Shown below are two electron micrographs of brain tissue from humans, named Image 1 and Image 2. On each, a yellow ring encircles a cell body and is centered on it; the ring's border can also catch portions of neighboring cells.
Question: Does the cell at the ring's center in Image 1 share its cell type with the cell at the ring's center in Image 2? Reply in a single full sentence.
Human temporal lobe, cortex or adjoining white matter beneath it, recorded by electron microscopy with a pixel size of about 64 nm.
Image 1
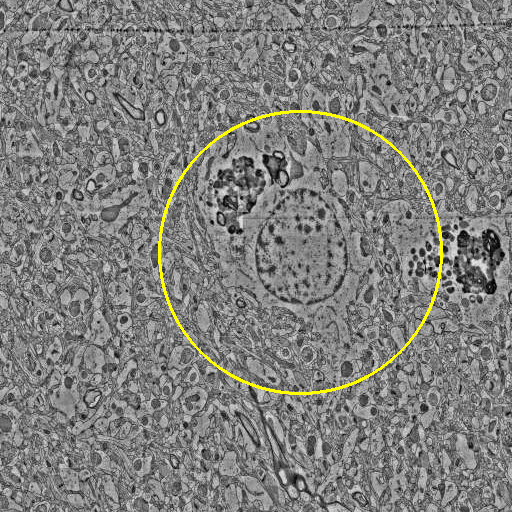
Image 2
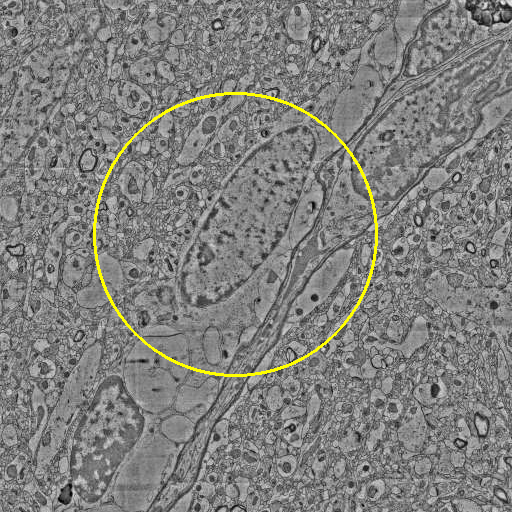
No, the two cells at the ring centers, in Image 1 and Image 2, are of two cell types.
